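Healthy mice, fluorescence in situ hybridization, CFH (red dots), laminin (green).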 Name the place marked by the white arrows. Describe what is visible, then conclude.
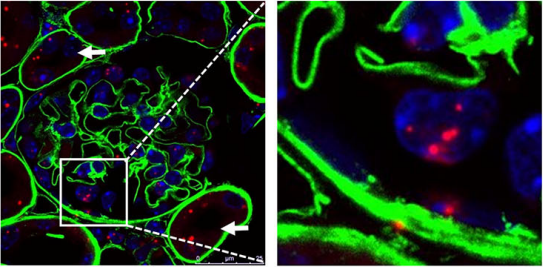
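The arrows point into round profiles outlined by thin green lines surrounding the glomerulus. These profiles contain cells with red dots, outside the central tuft.
Conclusion: tubular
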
